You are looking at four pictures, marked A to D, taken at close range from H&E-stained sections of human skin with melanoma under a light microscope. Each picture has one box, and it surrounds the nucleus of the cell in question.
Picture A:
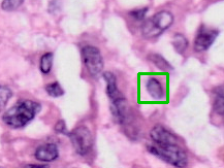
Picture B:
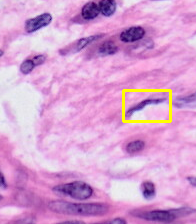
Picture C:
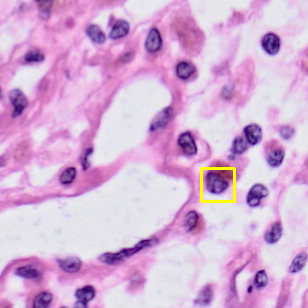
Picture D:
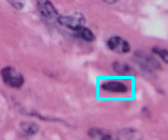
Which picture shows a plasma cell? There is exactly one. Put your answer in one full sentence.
The picture with the plasma cell is D.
